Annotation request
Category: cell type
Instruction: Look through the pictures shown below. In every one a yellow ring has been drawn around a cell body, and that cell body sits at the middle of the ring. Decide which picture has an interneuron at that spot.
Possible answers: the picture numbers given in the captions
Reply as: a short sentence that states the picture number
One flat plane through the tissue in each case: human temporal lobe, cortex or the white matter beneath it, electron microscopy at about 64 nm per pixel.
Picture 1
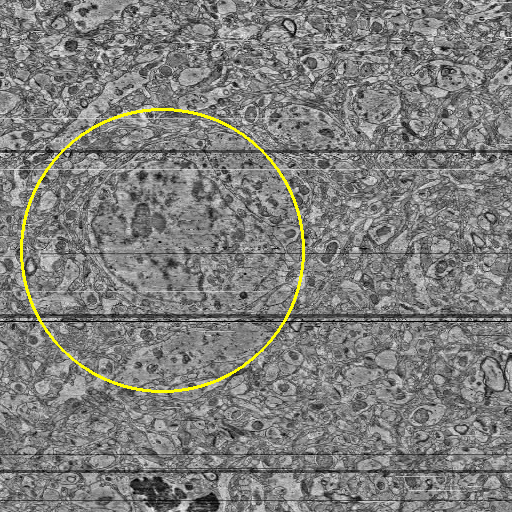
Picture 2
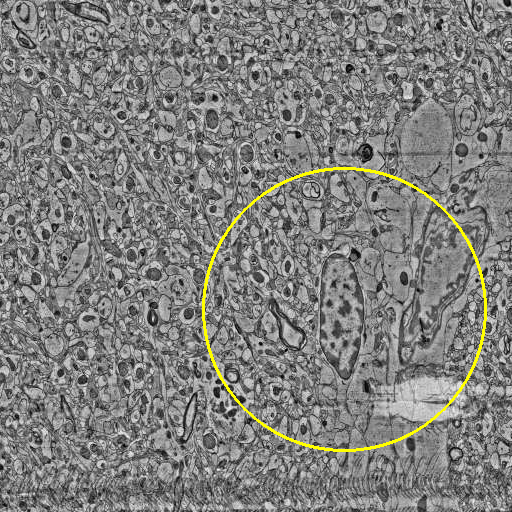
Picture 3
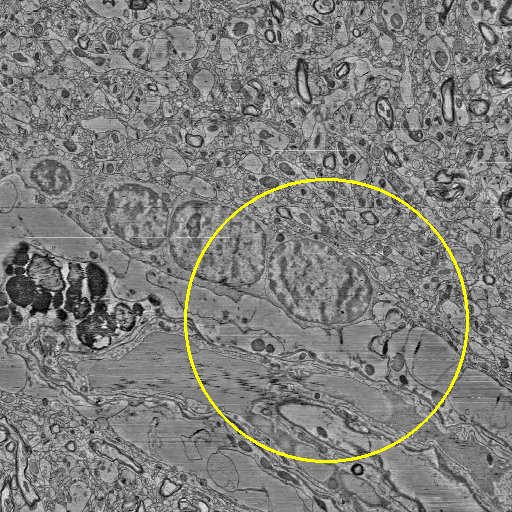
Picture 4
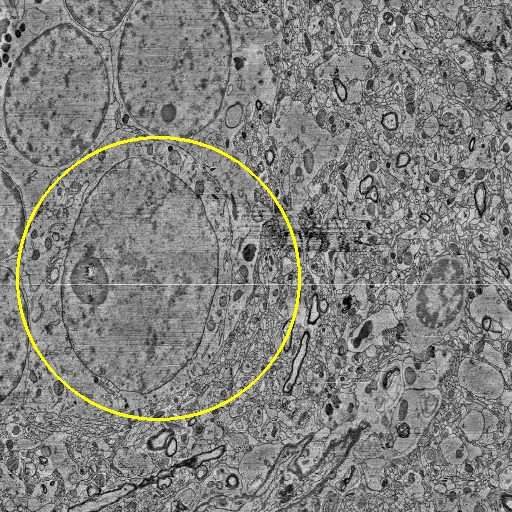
It is in Picture 1.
